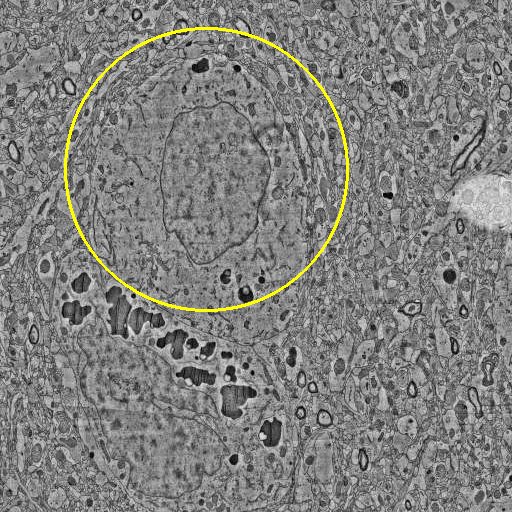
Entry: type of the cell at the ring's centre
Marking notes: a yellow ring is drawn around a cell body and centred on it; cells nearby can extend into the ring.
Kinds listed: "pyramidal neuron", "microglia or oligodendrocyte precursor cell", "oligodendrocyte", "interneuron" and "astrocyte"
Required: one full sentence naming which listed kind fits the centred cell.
My entry names a pyramidal neuron as the cell whose body the yellow ring centres on.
